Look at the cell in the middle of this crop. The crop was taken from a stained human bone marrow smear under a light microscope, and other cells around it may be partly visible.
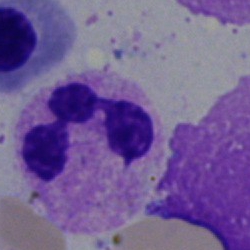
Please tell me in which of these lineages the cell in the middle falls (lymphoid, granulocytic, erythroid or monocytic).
granulocytic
